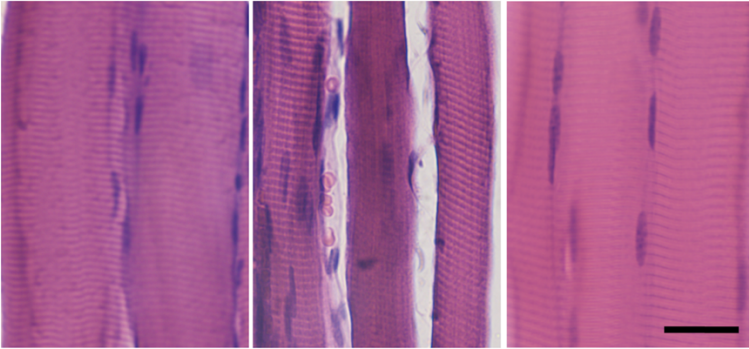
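Three fields of longitudinally cut skeletal muscle fibers, stained pink, with fine regular cross-striations along their length. Elongated, flattened dark purple nuclei lie at the margins of the fibers. In the middle field the fibers are narrower and separated by pale gaps holding small round red blood cells and several extra spindle-shaped nuclei between fibers. The outer two fields show broad fibers lying close together with few nuclei between them.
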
